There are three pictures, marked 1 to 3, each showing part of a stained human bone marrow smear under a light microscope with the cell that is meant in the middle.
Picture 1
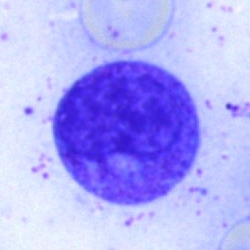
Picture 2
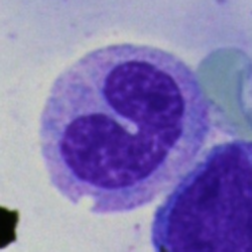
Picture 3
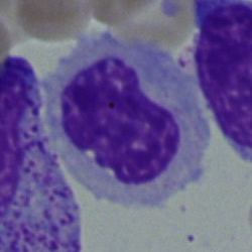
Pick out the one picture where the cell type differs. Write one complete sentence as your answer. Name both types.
Picture 2 differs, because its cell is a band neutrophil and the rest are metamyelocytes.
